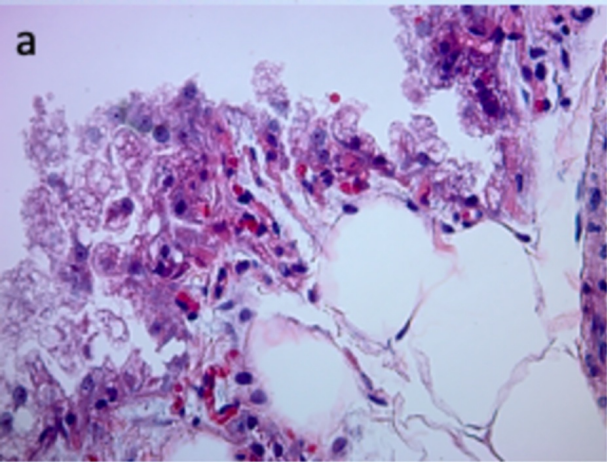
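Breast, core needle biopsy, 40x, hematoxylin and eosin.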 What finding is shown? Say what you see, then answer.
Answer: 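Vacuolated cytoplasm. Cytoplasm is pale and filled with small clear vacuoles. Cytoplasm is wide relative to the nuclei.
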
